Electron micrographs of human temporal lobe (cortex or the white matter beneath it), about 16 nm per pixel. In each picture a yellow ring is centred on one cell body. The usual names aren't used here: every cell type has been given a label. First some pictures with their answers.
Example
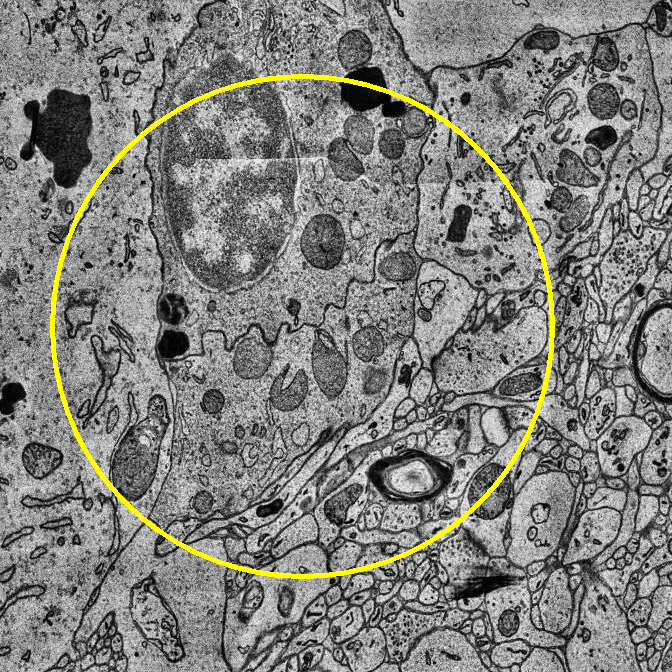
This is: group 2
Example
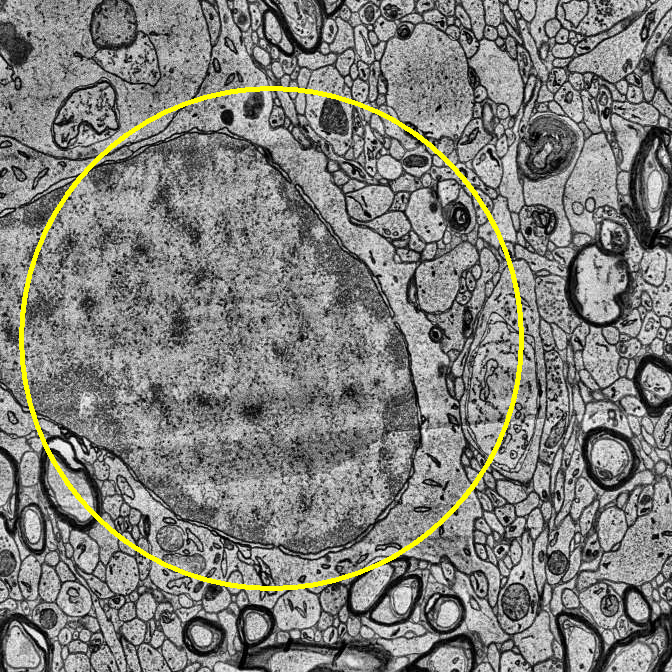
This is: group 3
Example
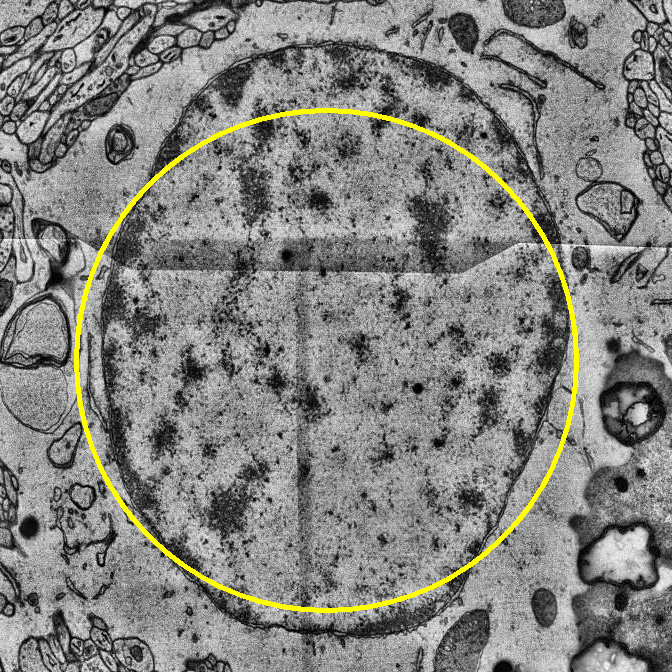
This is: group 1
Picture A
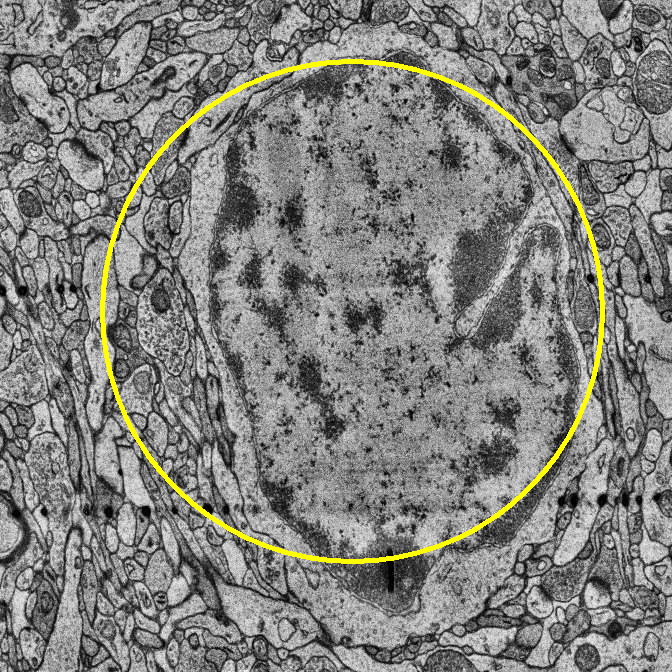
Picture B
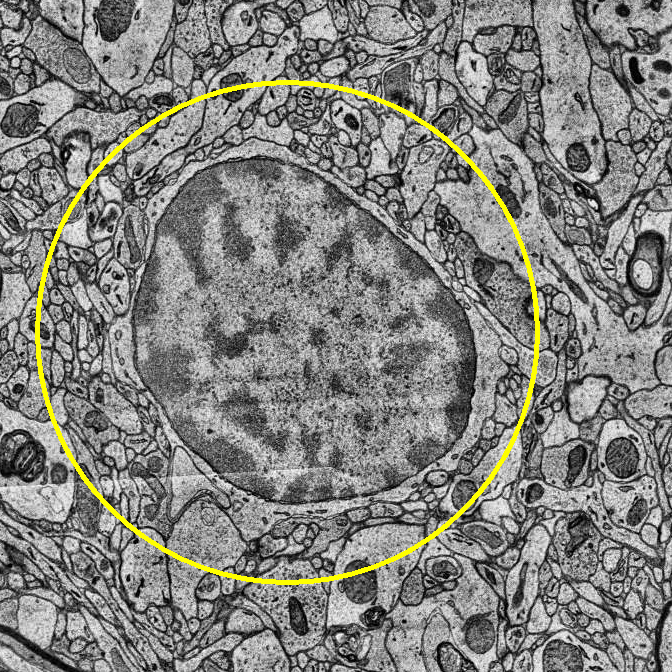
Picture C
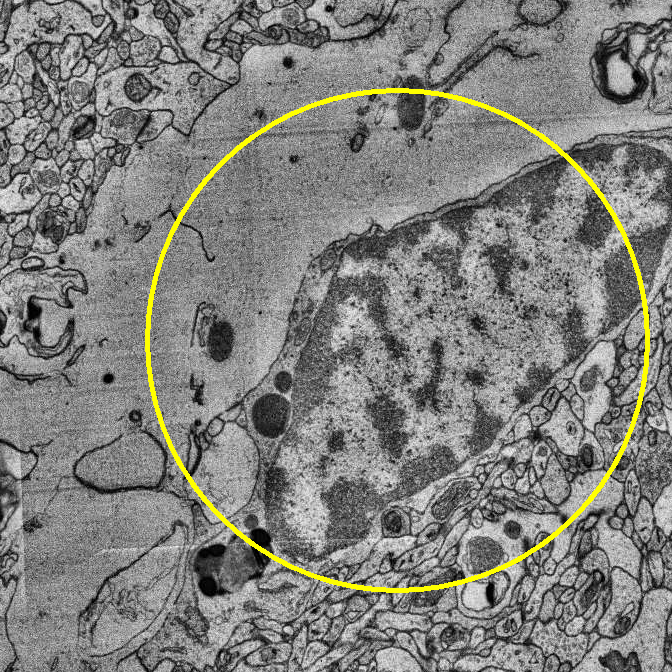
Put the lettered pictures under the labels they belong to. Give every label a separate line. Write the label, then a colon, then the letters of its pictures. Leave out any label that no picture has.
group 3: A, B, C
